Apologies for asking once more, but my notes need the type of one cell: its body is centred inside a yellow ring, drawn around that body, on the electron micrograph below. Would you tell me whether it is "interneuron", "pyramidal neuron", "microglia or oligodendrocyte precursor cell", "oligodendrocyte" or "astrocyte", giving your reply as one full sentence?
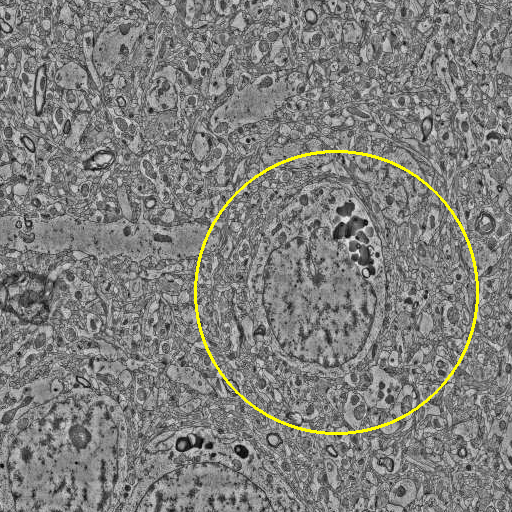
The cell that the yellow ring is centred on is an interneuron in this micrograph.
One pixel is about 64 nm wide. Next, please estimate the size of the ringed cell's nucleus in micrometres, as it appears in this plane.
In this plane the nucleus measures roughly 10 by 8 micrometres.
